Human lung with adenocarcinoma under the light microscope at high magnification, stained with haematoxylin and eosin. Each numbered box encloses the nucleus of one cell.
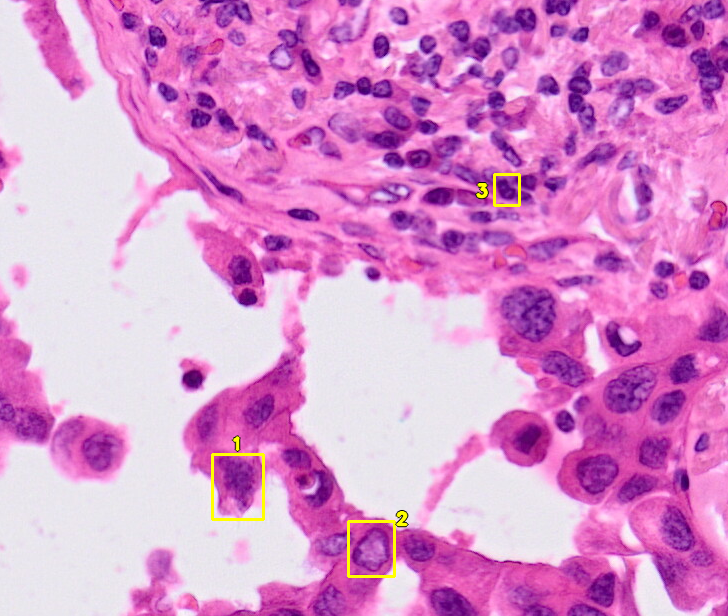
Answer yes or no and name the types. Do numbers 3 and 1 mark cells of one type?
No; cell 3 is a plasma cell, and cell 1 is a carcinoma cell.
